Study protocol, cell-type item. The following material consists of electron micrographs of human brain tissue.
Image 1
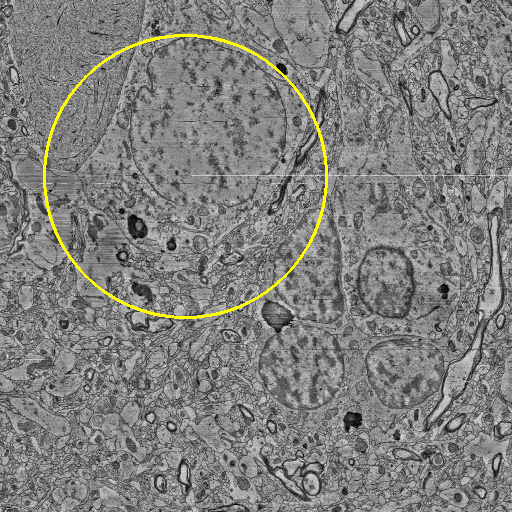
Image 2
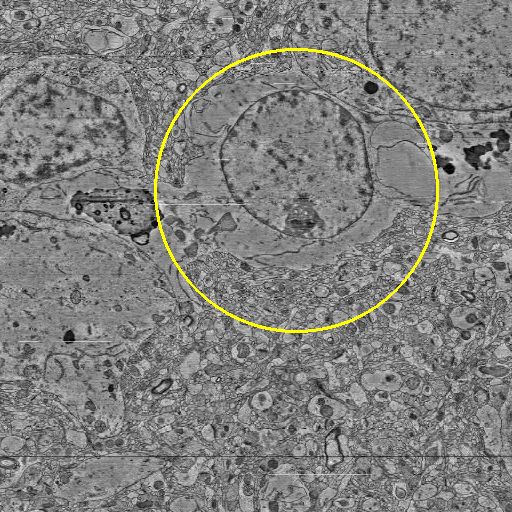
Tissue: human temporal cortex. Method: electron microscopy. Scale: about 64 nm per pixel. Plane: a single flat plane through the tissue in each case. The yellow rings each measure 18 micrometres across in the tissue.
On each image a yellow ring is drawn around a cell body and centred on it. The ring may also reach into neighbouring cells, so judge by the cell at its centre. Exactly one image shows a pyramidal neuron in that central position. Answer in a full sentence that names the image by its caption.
The cell at the centre of the ring in Image 1 is of that kind.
